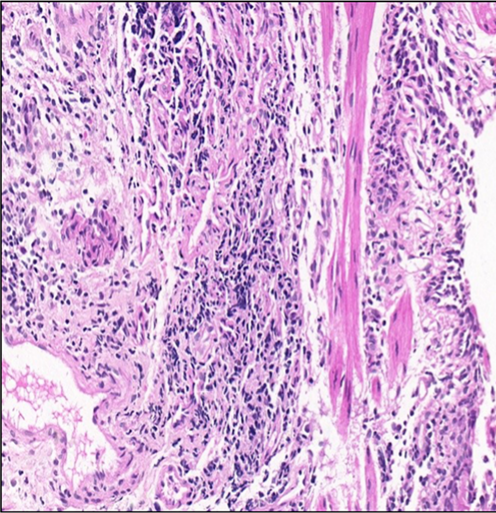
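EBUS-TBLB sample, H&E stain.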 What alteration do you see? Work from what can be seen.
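Dense sheets of small cells with round, dark purple nuclei and scant cytoplasm. These small dark cells crowd between pink fibrous strands. That points to this answer: lymphocytes infiltration.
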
